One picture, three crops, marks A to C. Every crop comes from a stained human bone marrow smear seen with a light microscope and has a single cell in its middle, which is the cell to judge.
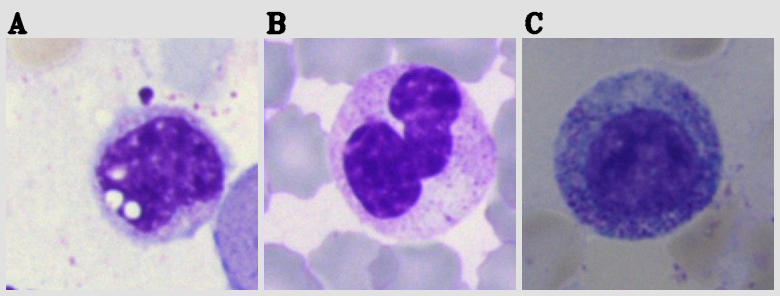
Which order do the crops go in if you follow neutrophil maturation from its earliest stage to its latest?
C, A, B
